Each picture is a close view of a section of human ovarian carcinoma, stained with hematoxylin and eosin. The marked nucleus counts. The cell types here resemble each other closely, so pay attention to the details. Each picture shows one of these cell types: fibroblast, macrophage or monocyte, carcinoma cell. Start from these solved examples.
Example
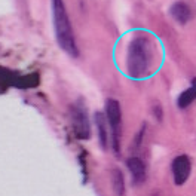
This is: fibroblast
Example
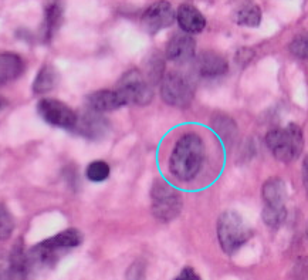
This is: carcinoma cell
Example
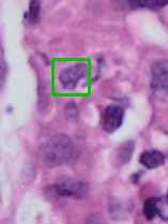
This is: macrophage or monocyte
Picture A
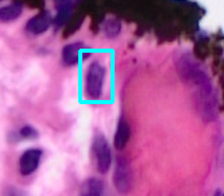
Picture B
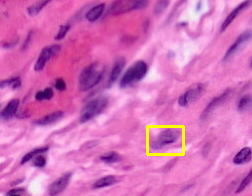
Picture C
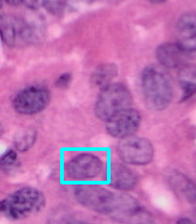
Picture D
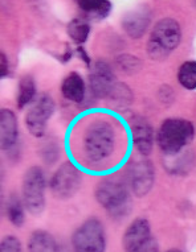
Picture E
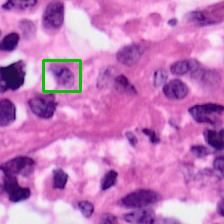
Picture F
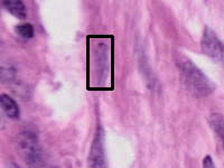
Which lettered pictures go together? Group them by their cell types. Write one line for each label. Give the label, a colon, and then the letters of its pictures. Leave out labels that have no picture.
fibroblast: B, F
macrophage or monocyte: A, E
carcinoma cell: C, D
